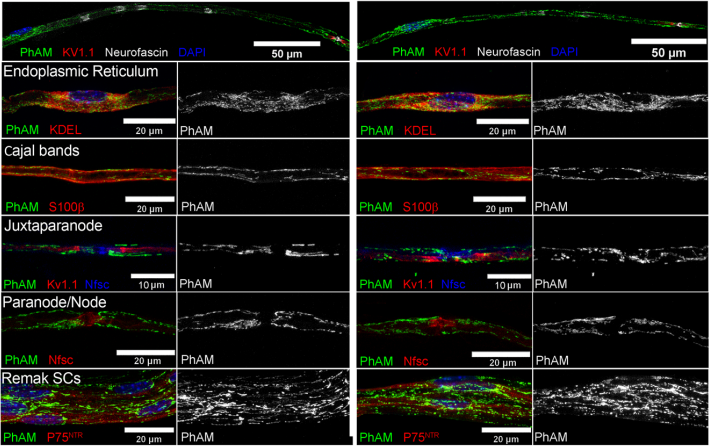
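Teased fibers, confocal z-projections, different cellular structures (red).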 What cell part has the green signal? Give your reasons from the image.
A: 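Mitochondria. Green label forms small rods, dots and short tubules scattered along the fiber. Green elements cluster densely around the blue nucleus. Green elements run in lines along the length of the fiber.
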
